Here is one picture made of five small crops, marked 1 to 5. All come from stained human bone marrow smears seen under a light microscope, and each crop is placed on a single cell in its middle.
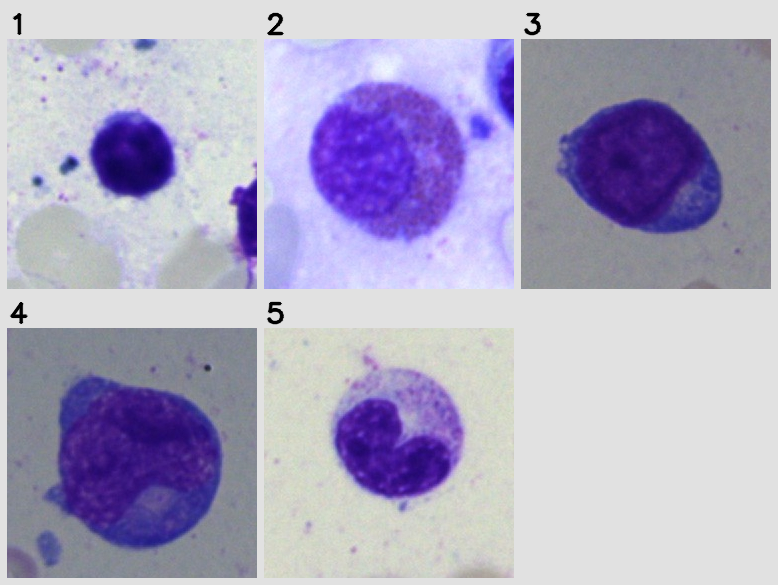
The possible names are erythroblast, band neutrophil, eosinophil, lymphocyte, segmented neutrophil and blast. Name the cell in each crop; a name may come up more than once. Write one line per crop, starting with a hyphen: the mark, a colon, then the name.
- 1: lymphocyte
- 2: eosinophil
- 3: blast
- 4: blast
- 5: band neutrophil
